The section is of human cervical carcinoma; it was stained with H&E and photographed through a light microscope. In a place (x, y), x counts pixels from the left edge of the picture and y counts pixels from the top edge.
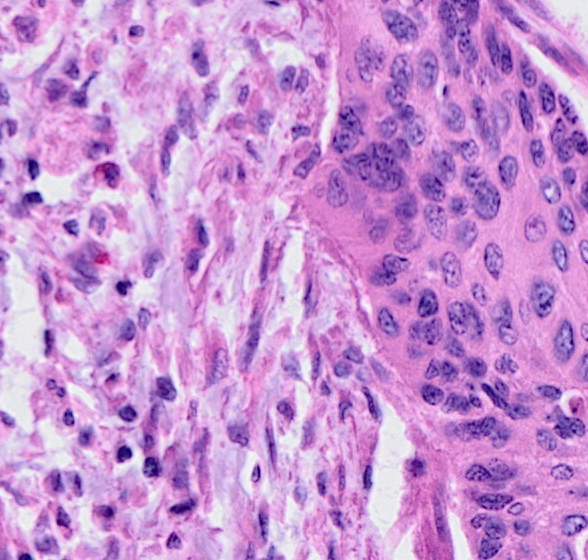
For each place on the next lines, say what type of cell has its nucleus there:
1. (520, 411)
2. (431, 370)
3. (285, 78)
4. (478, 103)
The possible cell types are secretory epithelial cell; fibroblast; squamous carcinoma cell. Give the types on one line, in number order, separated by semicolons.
squamous carcinoma cell; squamous carcinoma cell; fibroblast; squamous carcinoma cell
